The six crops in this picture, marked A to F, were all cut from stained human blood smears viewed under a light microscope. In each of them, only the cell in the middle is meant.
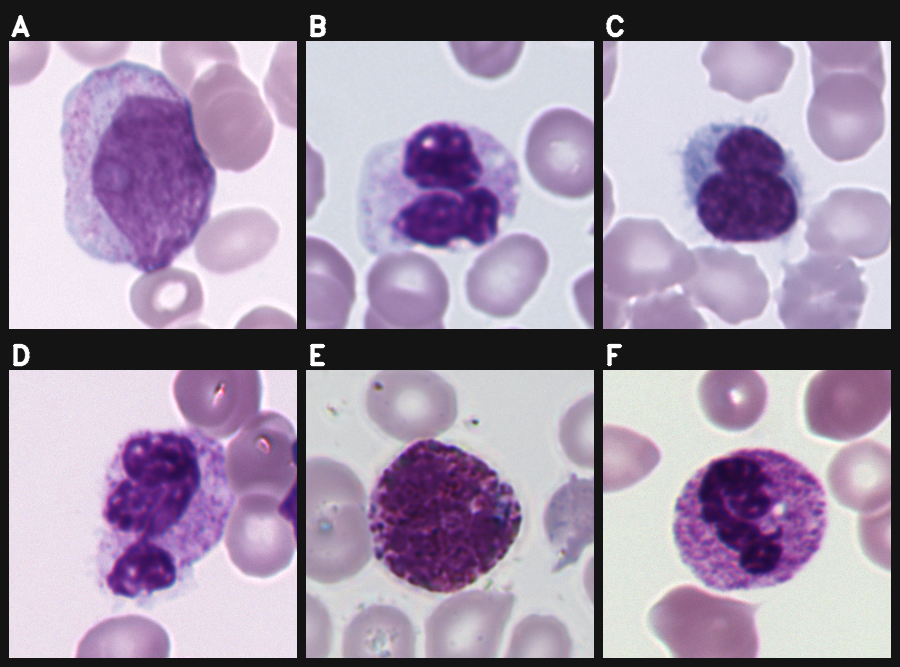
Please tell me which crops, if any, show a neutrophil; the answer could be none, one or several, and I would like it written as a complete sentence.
The crops marked B, D and F contain neutrophils at the centre.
